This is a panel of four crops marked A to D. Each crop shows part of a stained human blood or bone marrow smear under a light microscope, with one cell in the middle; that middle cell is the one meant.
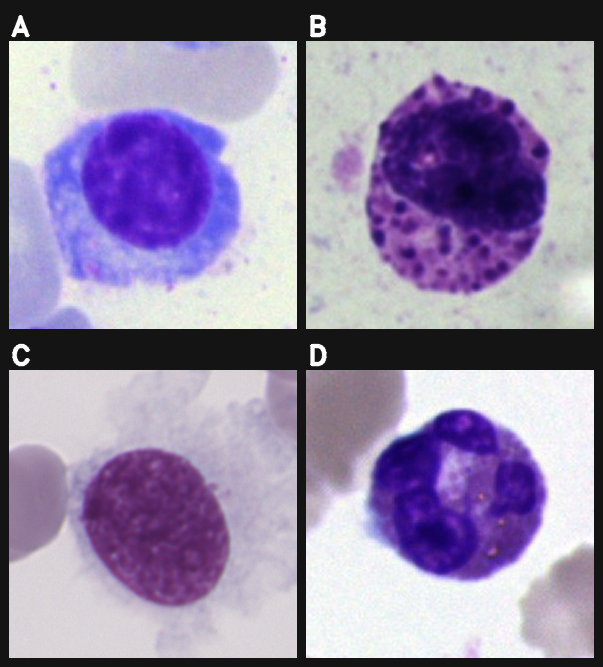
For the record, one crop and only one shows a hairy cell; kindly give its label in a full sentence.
Crop C is the one depicting a hairy cell.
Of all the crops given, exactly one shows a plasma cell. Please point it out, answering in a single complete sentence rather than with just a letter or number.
The crop that has a plasma cell in the middle is crop A.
